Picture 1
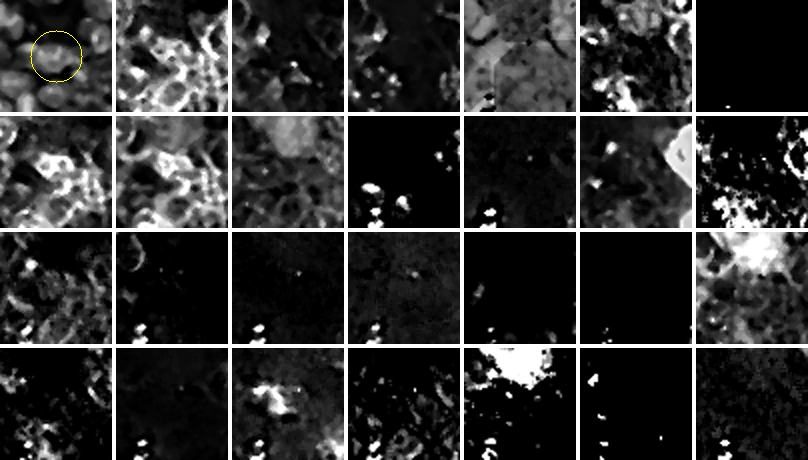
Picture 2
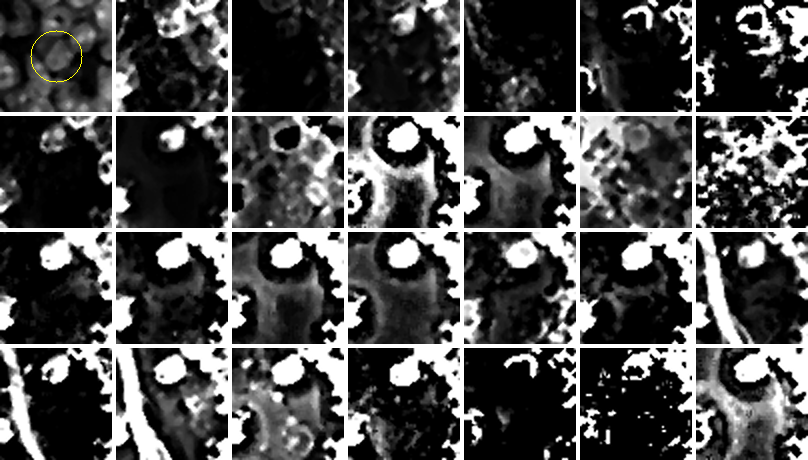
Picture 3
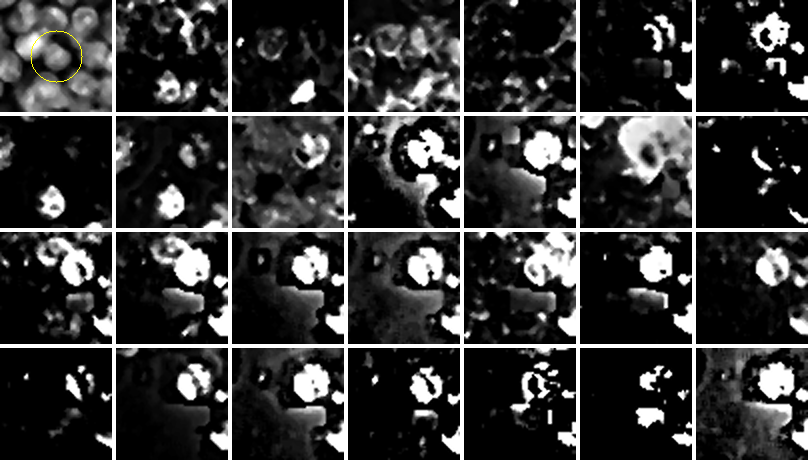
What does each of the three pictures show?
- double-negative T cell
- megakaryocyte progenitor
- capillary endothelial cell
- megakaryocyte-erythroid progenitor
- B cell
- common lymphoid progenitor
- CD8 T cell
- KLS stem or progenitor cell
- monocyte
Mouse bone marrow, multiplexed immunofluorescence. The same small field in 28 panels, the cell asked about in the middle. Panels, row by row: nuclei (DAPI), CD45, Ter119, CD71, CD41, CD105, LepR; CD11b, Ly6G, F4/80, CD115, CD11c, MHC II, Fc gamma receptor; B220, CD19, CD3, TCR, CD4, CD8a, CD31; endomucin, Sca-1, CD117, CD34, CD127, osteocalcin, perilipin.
1: megakaryocyte progenitor
2: KLS stem or progenitor cell
3: common lymphoid progenitor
